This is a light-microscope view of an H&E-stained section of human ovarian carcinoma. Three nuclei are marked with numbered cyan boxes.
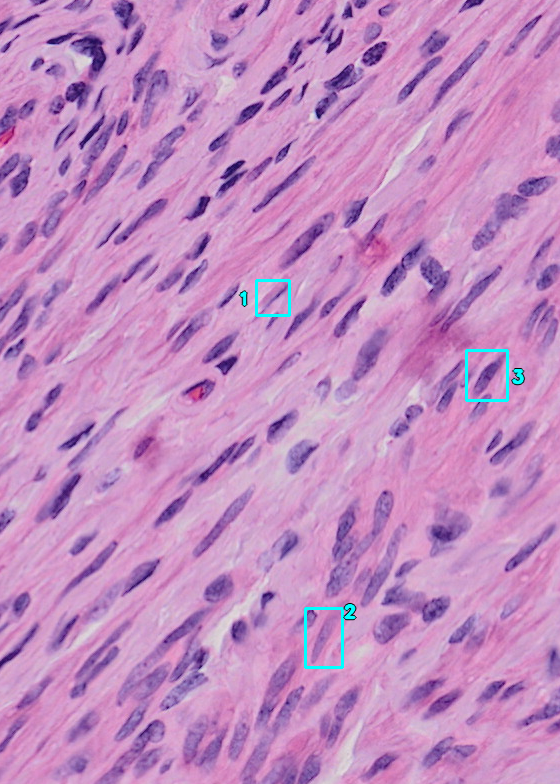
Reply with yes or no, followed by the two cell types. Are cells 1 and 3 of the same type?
No: cell 1 is a fibroblast, while cell 3 is a smooth muscle cell.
